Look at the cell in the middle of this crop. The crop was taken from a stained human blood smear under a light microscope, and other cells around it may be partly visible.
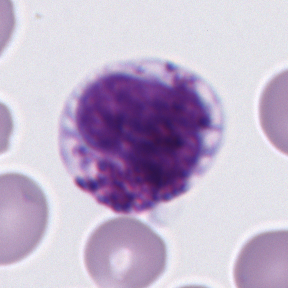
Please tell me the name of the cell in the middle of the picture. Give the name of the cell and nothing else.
basophil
